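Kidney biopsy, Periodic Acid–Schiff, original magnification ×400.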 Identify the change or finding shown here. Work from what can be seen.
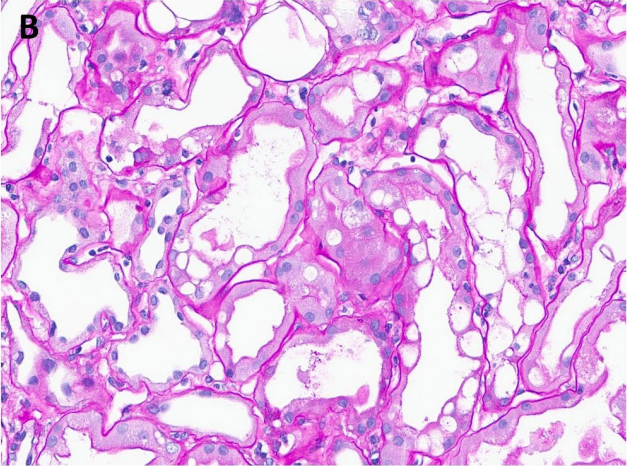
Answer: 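Tubular epithelial cells contain many clear round spaces of varying size. Tubules are bounded by pink basement membranes. So: Large vacuoles in proximal tubular epithelial cells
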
